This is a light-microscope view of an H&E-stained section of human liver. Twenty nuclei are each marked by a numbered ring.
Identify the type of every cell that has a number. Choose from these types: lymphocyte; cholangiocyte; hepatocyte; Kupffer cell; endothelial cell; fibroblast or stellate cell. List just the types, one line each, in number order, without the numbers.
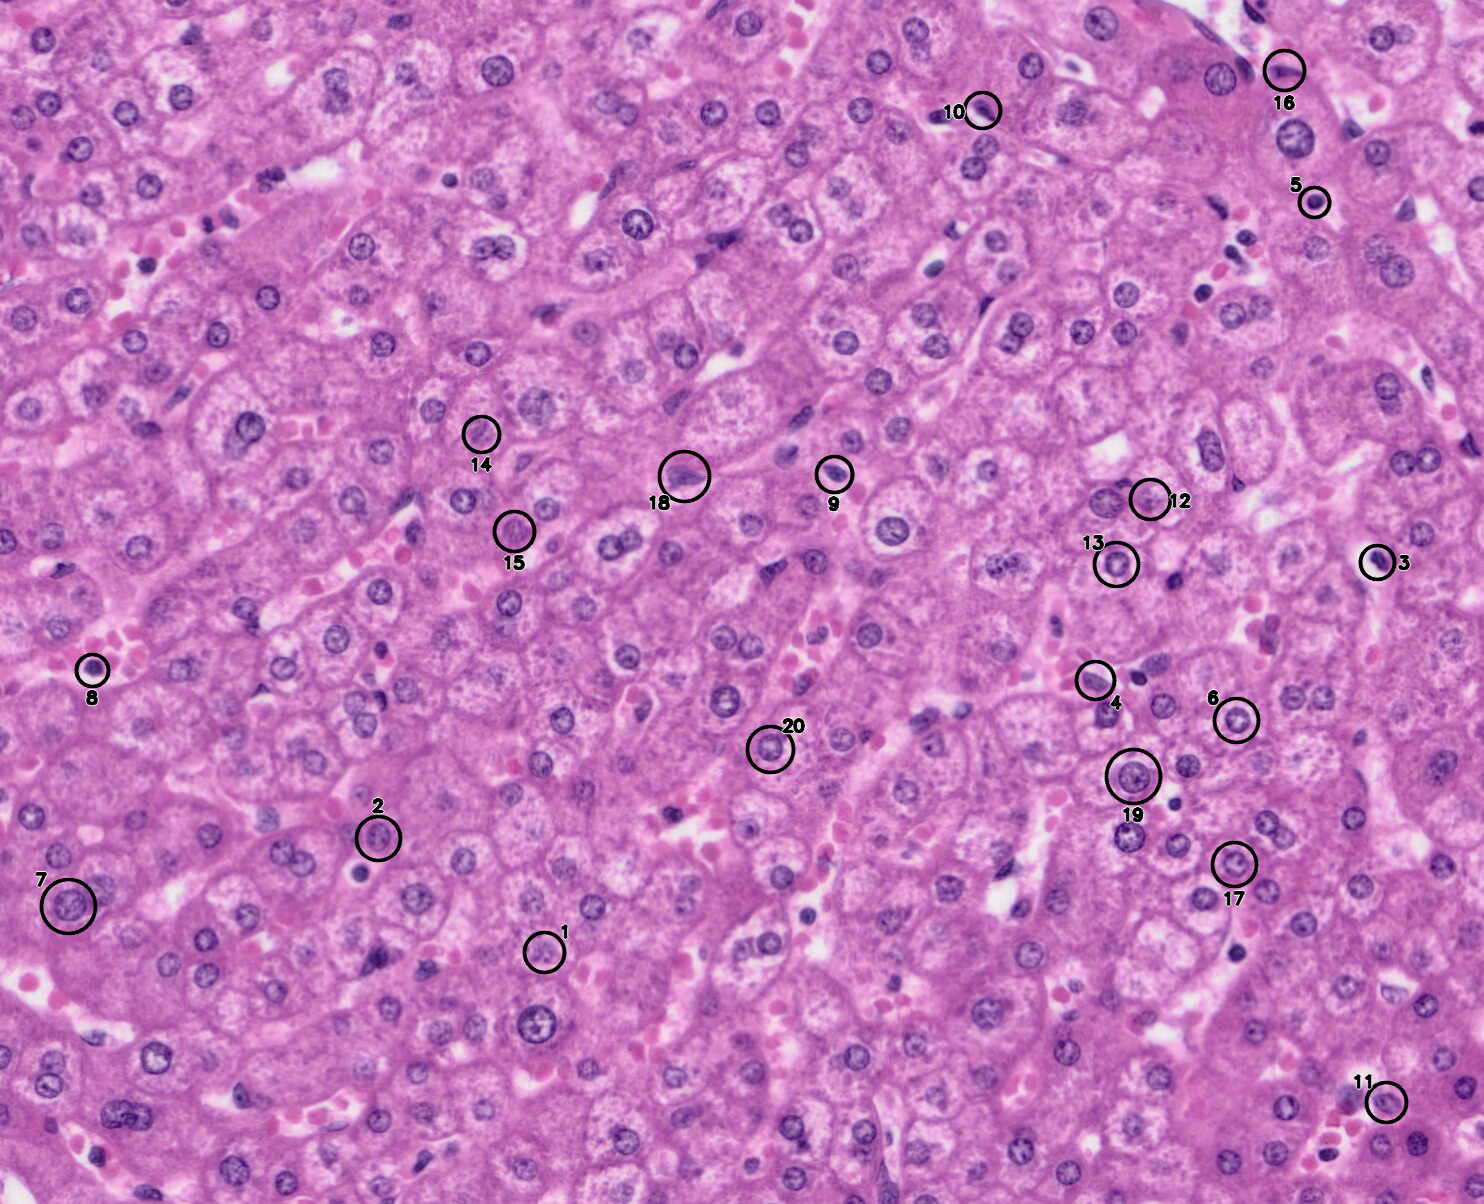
hepatocyte
hepatocyte
lymphocyte
Kupffer cell
lymphocyte
hepatocyte
hepatocyte
lymphocyte
lymphocyte
endothelial cell
Kupffer cell
hepatocyte
hepatocyte
hepatocyte
hepatocyte
fibroblast or stellate cell
hepatocyte
Kupffer cell
hepatocyte
hepatocyte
